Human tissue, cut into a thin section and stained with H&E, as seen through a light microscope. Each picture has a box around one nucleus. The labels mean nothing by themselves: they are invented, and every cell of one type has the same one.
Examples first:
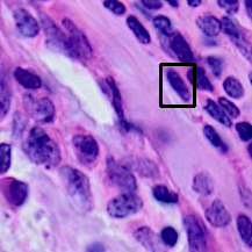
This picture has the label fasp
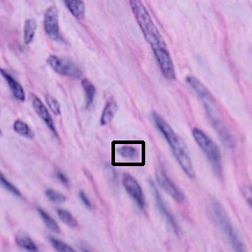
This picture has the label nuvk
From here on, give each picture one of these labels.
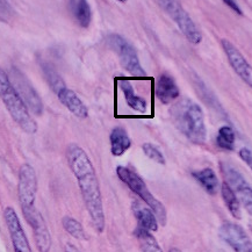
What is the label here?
fasp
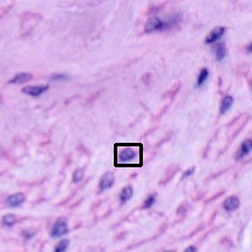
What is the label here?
nuvk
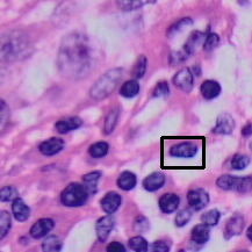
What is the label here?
fasp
